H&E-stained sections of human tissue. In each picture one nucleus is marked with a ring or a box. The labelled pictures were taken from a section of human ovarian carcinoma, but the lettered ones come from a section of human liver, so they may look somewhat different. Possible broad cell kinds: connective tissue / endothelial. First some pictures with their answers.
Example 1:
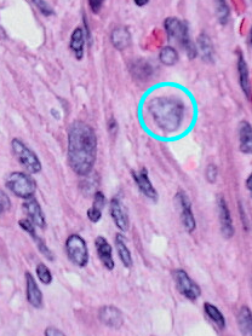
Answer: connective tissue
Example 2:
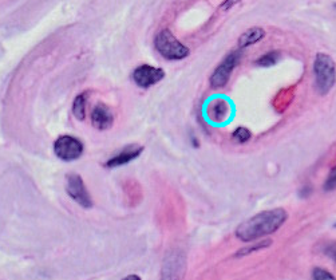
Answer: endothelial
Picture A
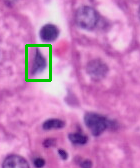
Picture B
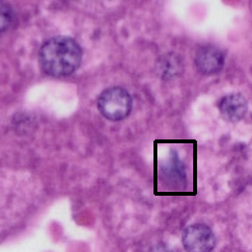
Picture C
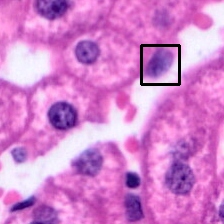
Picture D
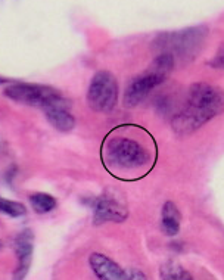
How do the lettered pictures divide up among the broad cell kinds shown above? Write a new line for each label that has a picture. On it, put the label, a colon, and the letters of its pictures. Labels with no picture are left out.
connective tissue: D
endothelial: A, B, C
